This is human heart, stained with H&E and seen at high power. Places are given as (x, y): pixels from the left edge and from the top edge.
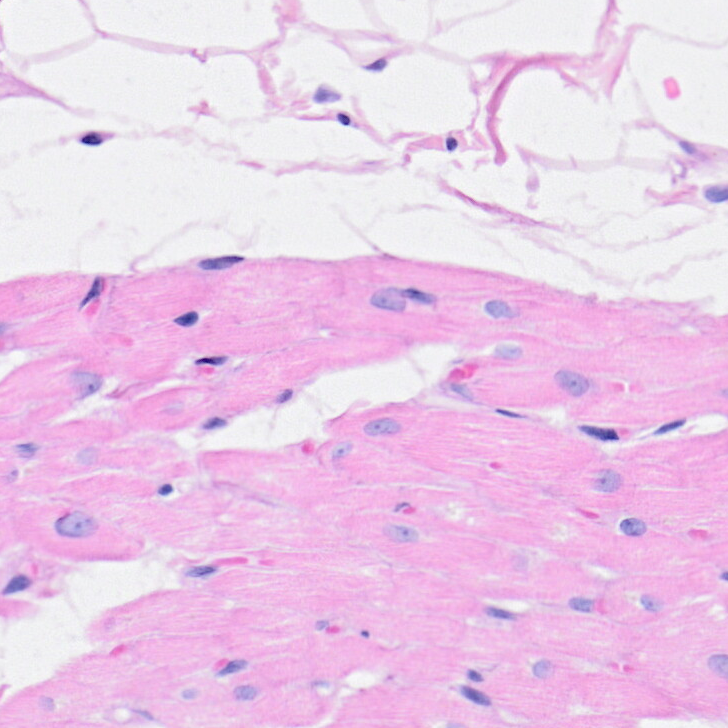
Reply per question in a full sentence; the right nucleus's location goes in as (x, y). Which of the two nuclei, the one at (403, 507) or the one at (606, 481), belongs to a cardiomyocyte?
Located at (606, 481), this nucleus is the one belonging to a cardiomyocyte.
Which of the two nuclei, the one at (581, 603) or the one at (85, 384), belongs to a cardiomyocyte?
Housed in a cardiomyocyte is the nucleus at (85, 384), not the other one.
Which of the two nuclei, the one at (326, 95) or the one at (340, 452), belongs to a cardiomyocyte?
The nucleus at position (340, 452) belongs to a cardiomyocyte.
